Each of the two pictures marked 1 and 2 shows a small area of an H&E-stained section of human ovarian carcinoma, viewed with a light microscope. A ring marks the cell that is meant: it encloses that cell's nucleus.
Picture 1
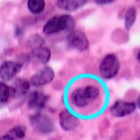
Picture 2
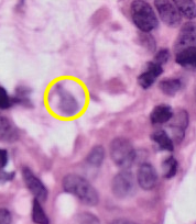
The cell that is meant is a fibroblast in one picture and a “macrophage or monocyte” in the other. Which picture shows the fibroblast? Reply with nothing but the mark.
2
